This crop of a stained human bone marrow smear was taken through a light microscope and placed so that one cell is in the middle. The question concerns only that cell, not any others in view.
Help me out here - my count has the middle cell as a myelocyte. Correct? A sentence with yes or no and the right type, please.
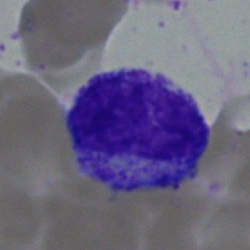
Yes, that is right: the middle cell is a myelocyte.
